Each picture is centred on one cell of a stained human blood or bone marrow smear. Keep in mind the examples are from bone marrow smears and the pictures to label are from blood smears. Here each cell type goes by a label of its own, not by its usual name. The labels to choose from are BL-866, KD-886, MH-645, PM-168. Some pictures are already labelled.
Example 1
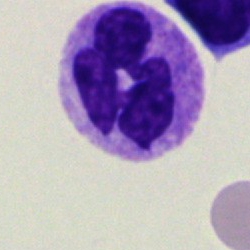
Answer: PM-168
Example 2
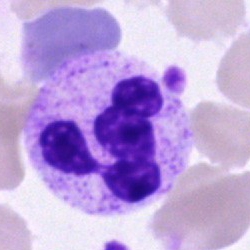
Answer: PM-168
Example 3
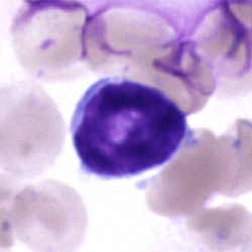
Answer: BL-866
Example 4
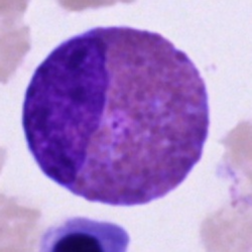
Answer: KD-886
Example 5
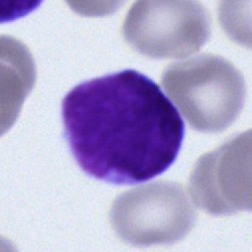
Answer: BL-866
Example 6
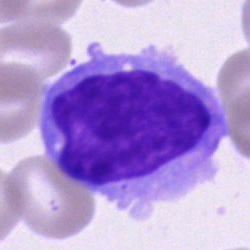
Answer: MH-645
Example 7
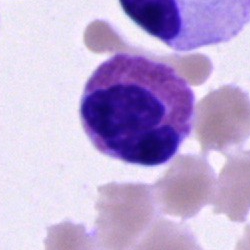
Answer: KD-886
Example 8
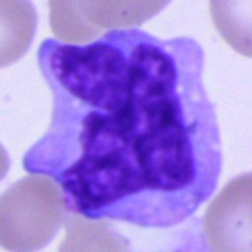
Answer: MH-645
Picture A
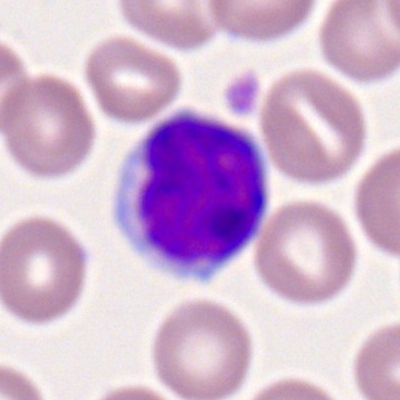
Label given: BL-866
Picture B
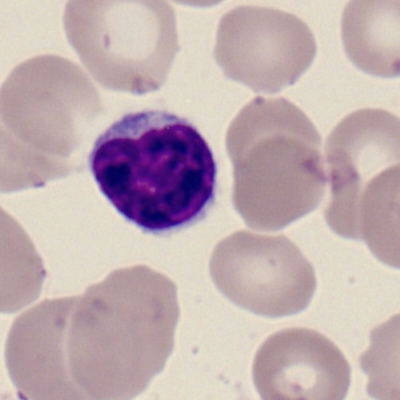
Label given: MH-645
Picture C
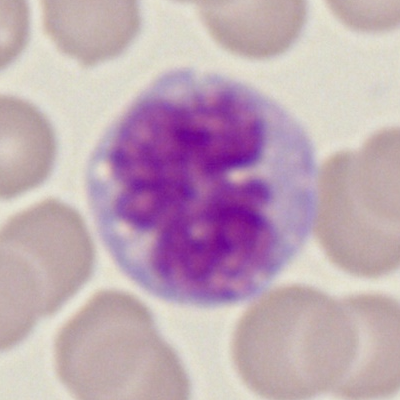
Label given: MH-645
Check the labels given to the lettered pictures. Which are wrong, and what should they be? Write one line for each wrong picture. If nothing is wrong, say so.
B: change MH-645 to BL-866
